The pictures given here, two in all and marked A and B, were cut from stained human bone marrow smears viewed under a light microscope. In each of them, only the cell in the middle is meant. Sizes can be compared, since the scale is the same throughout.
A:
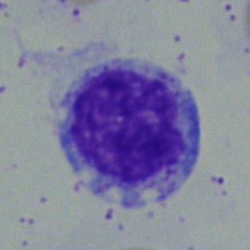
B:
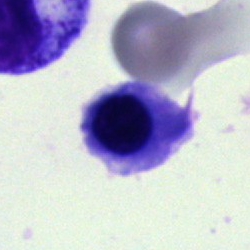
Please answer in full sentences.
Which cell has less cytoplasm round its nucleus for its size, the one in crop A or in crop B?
It is the cell in crop A that is filled more by its nucleus.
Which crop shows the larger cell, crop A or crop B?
Larger is the cell in crop A, at roughly 2 times the area of the other.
